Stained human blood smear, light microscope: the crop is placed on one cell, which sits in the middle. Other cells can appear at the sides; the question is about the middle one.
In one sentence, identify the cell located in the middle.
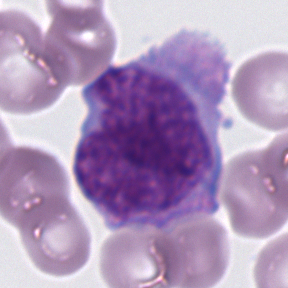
In the middle of this smear crop, the cell is an atypical promyelocyte.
